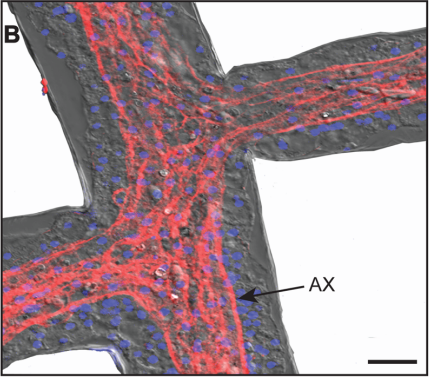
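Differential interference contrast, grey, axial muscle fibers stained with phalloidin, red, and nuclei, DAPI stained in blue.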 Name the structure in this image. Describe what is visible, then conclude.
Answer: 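Hydrorhiza. Branching tubes of even width cross the field. Red fibers run lengthwise along the tubes and continue through the branch points. Blue nuclei are scattered along the tubes.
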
